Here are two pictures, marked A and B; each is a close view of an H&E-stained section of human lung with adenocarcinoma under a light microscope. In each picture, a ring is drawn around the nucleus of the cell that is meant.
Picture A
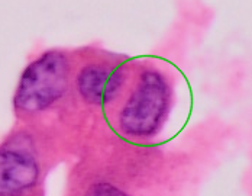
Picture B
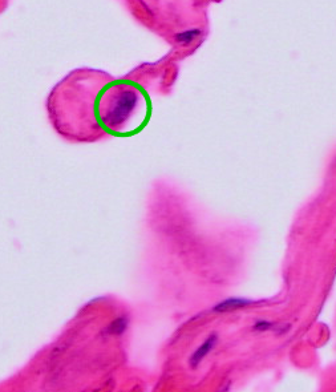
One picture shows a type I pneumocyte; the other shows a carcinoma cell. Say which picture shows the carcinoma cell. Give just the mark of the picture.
A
